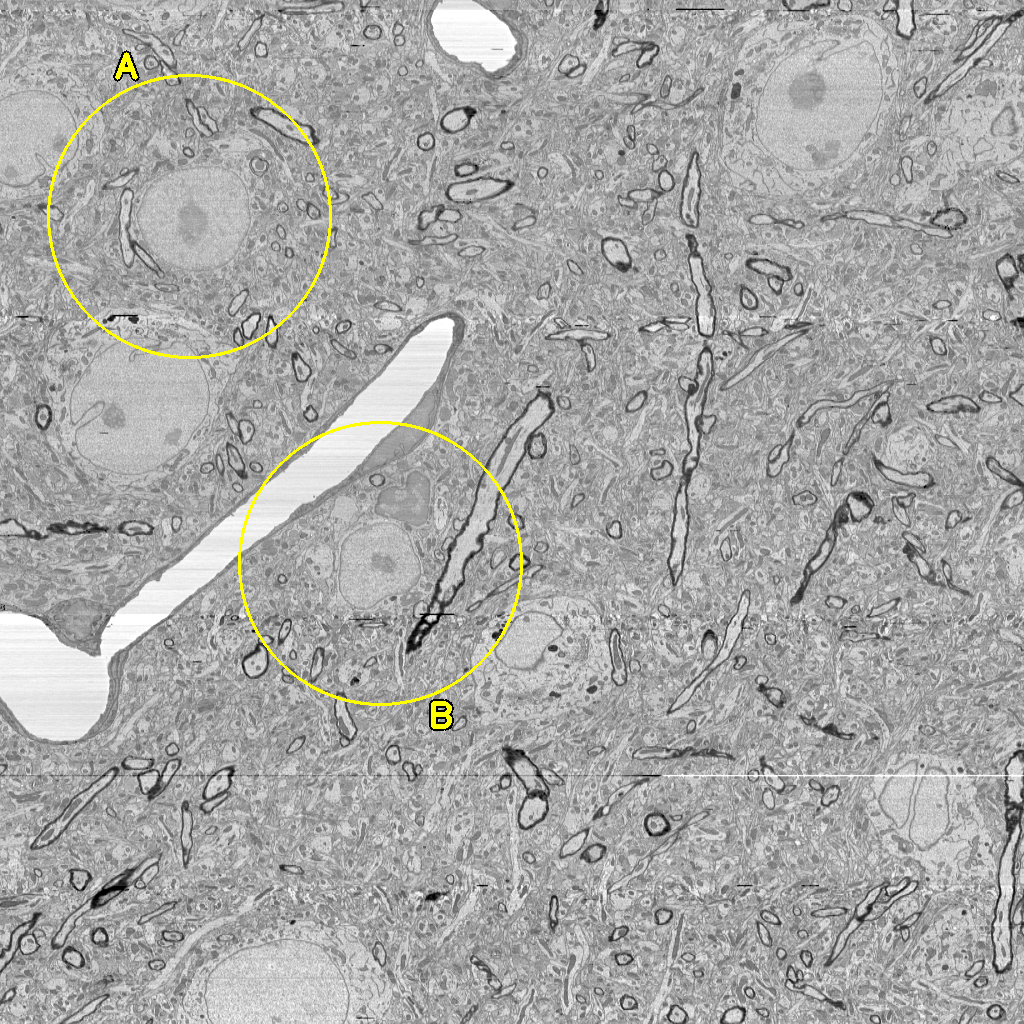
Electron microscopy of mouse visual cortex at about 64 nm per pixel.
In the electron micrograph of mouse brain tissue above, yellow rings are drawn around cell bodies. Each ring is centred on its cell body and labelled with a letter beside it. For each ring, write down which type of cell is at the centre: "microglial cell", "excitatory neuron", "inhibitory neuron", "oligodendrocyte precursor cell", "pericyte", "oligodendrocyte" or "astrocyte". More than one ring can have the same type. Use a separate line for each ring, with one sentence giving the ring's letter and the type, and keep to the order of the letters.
At the centre of ring A there is an astrocyte.
At the centre of ring B there is an oligodendrocyte precursor cell.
